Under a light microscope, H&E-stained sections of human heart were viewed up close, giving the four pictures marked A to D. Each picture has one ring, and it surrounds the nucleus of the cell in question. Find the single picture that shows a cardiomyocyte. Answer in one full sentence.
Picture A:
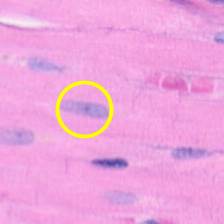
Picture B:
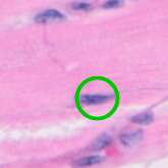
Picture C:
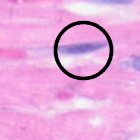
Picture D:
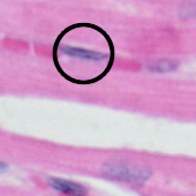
Picture A shows the cardiomyocyte.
